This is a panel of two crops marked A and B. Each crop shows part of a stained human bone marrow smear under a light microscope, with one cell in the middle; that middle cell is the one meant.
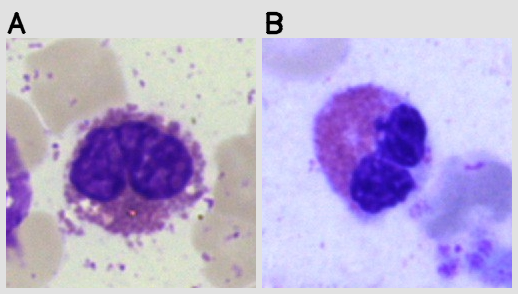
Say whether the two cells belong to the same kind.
yes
